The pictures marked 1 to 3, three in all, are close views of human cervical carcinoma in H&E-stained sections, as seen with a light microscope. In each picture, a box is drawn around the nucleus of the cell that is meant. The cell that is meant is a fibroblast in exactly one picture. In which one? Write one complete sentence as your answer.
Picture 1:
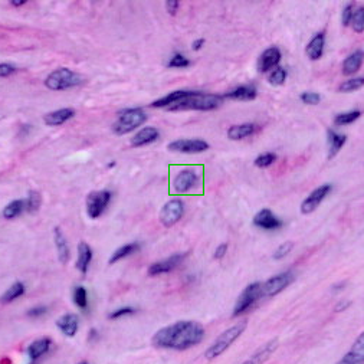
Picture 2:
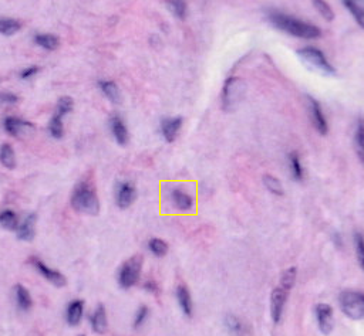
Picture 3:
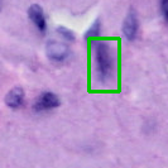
Picture 3 is the one that shows the fibroblast.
